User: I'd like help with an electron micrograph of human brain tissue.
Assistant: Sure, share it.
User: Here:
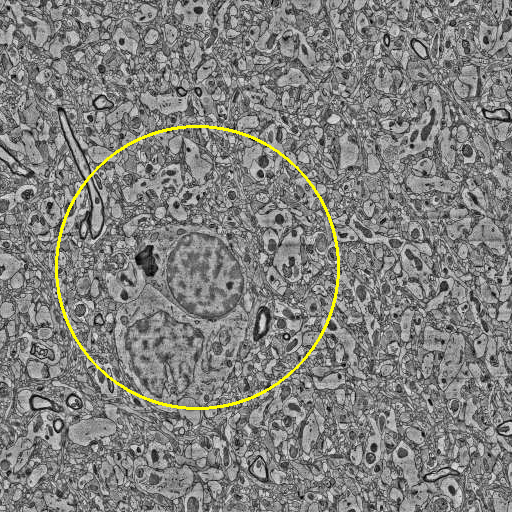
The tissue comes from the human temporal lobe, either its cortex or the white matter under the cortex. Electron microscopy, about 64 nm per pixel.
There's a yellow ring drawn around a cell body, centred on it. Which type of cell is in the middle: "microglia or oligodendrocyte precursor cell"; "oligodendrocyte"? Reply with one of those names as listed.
oligodendrocyte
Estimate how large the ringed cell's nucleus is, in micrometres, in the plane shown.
In this plane the nucleus spans approximately 6 by 5 micrometers.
